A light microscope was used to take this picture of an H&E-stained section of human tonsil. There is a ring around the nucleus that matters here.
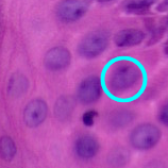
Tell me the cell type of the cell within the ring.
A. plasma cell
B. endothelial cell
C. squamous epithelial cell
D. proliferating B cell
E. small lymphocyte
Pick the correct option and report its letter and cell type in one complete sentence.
The correct response is option C: the cell within the ring is a squamous epithelial cell.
